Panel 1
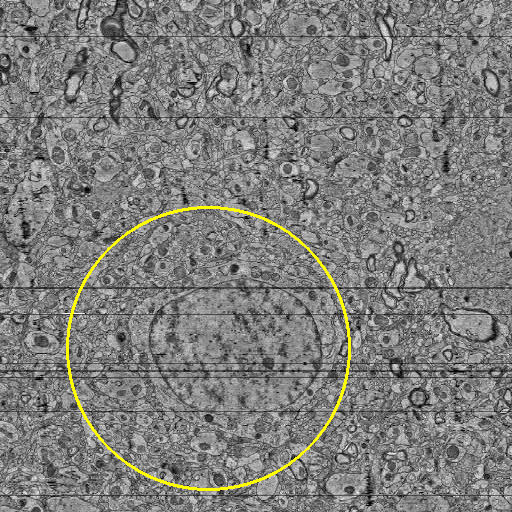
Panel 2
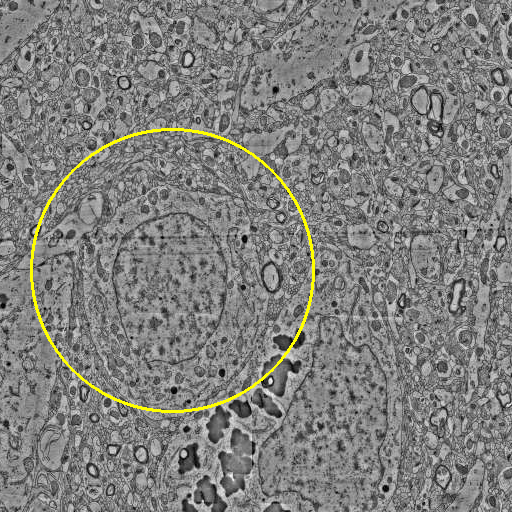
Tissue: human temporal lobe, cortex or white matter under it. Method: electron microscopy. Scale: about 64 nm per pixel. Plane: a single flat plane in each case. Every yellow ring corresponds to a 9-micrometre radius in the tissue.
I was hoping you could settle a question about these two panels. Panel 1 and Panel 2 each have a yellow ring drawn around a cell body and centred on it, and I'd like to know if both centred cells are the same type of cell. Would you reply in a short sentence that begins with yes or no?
Yes, both are the same type of cell.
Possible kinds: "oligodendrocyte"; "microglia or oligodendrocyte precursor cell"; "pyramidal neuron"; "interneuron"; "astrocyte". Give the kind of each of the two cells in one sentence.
Each of the ringed cells, first and second, is an interneuron.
